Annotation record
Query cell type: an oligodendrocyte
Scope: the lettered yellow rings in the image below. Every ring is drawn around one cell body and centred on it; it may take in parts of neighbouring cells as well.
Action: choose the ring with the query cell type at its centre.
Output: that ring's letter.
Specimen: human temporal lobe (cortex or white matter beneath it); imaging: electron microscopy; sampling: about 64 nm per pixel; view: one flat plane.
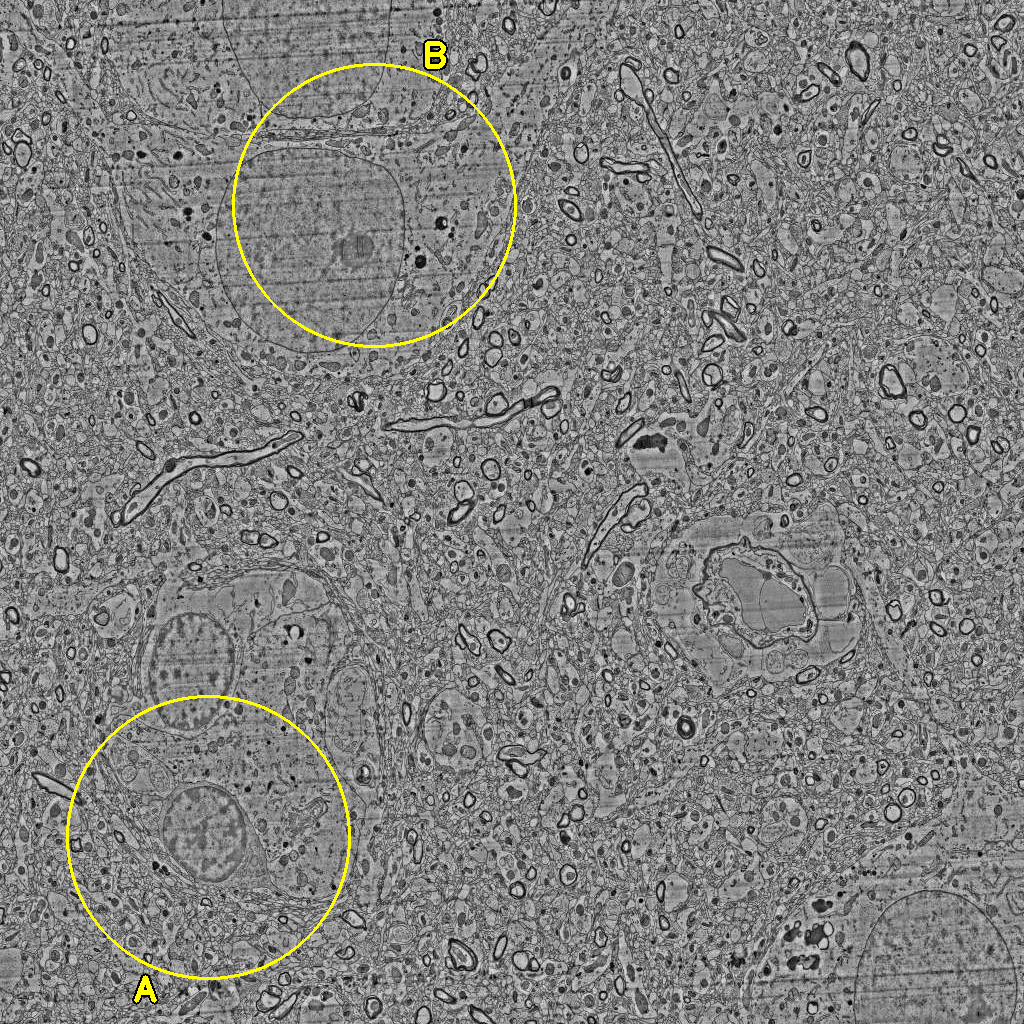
A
